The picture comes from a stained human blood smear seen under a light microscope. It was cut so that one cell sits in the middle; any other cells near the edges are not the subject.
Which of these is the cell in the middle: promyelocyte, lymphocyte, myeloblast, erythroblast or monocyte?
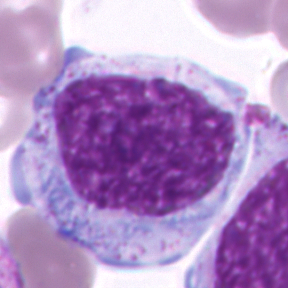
promyelocyte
